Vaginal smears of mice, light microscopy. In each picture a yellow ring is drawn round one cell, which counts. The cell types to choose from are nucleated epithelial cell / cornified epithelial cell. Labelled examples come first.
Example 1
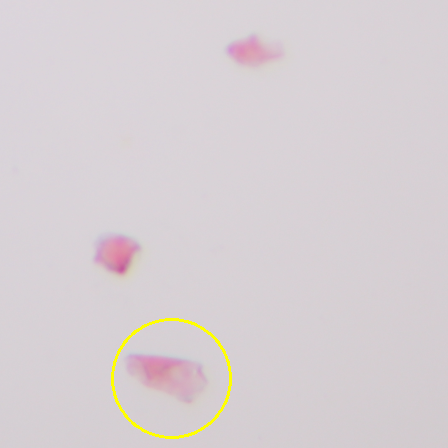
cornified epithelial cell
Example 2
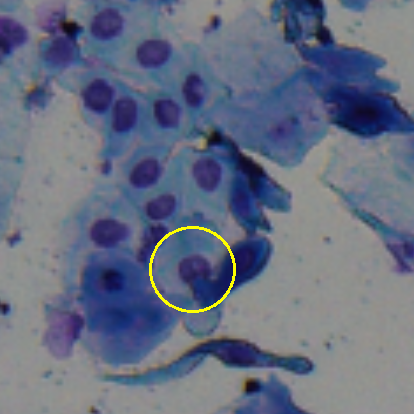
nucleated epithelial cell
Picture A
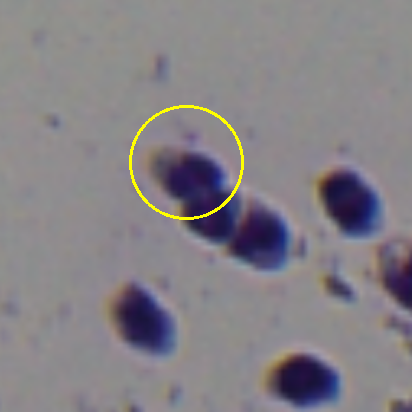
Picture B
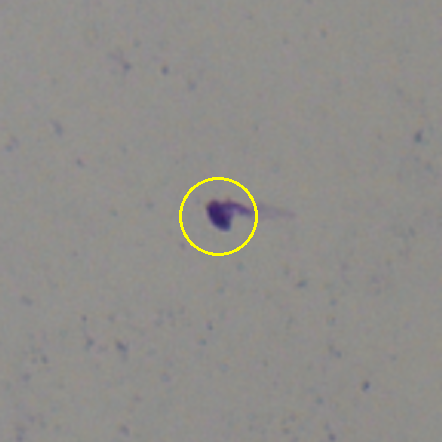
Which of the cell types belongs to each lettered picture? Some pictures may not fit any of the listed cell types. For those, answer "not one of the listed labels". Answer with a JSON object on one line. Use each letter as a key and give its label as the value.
{"A": "not one of the listed labels", "B": "not one of the listed labels"}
